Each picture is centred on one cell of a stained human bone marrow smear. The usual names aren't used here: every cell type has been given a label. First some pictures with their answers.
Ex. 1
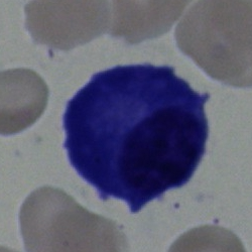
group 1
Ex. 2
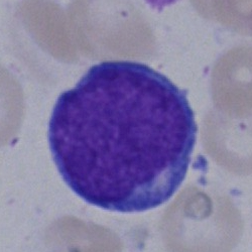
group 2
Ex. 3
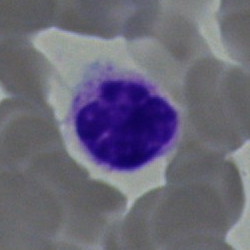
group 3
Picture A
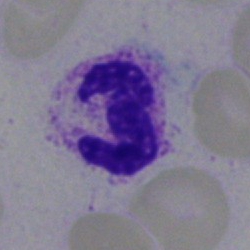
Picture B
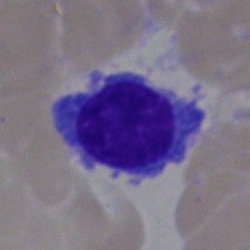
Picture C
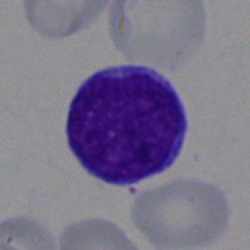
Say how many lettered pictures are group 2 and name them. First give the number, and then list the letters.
1, namely C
